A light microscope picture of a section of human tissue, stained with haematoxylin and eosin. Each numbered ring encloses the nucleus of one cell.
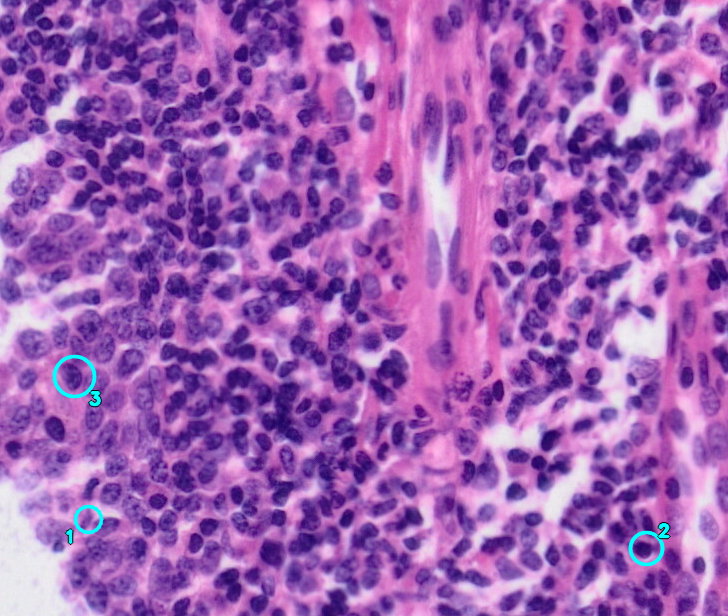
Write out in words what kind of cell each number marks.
Cells 1 and 3 are proliferating B cells. Cell 2 is a small lymphocyte.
